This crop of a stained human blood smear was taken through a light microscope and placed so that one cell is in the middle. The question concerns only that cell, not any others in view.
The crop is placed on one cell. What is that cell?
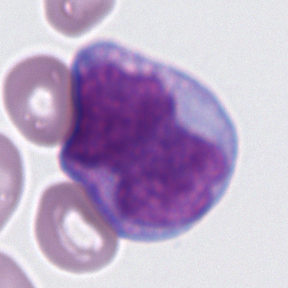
atypical promyelocyte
